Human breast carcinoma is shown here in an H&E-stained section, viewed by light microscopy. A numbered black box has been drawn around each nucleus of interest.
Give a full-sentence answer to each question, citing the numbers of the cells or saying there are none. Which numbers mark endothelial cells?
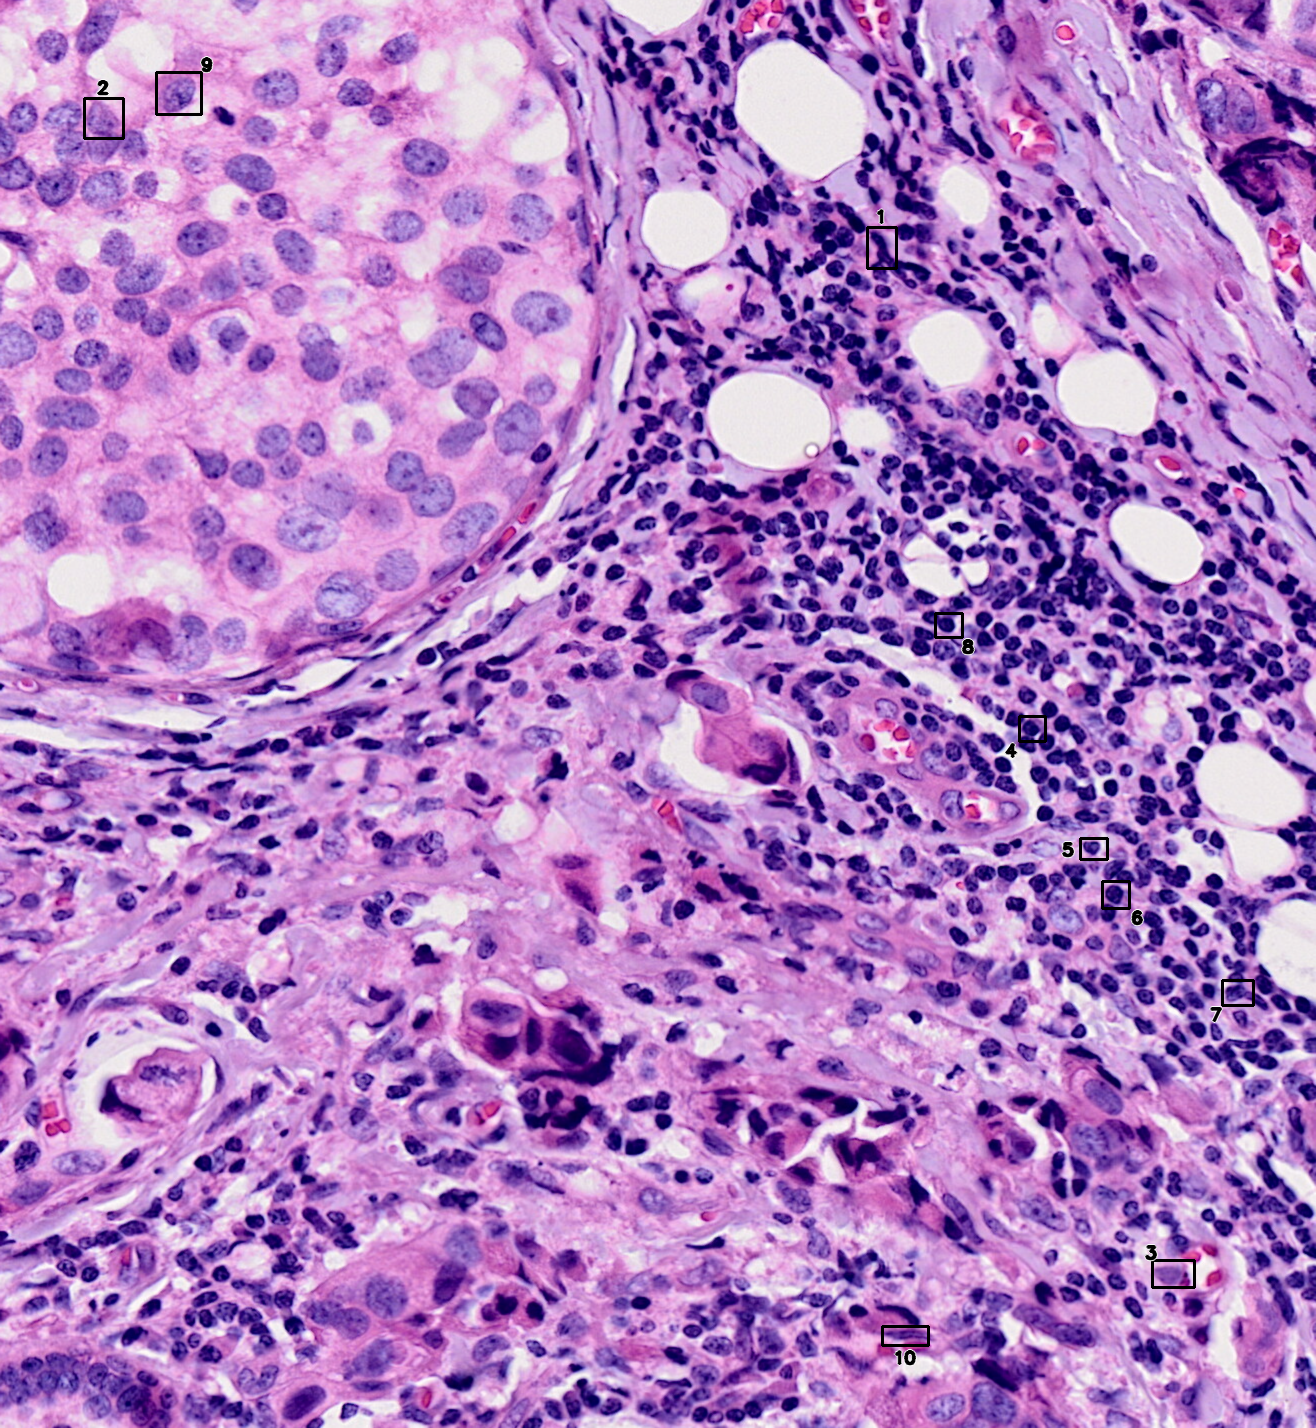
The cells numbered 3 and 10 fall into the category of endothelial cells.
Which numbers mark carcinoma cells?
The cells picked out by numbers 2 and 9 are carcinoma cells.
